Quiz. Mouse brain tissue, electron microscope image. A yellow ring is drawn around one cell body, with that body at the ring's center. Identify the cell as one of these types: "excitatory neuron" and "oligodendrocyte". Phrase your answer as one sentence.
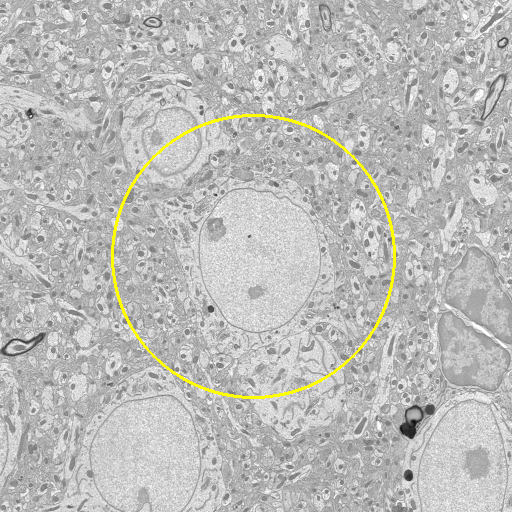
At the center of the ring sits an excitatory neuron.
